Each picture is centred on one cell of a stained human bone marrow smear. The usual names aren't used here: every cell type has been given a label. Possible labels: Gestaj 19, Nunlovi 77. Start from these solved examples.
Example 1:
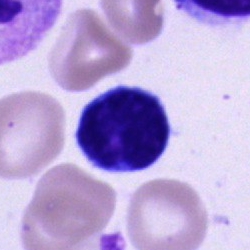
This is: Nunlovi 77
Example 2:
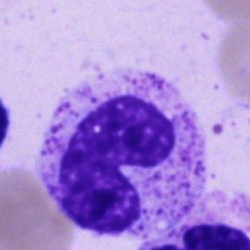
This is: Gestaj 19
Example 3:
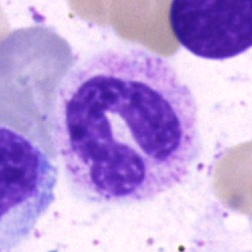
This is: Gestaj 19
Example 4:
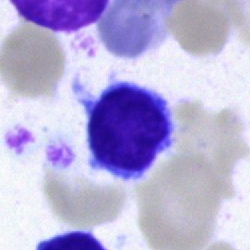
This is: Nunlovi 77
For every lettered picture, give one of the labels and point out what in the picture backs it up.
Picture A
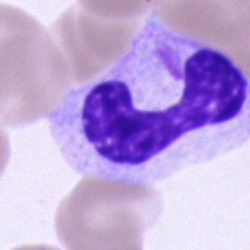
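Label: Gestaj 19. The nucleus is curved into a horseshoe with its open side facing upward.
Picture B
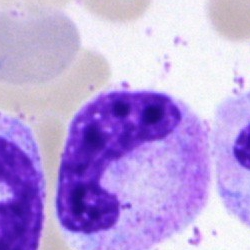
Label: Gestaj 19. The cytoplasm is abundant and pale lilac-pink.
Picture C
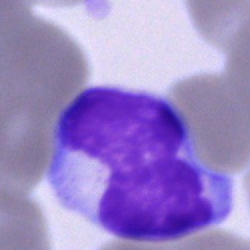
Label: Nunlovi 77. The nucleus fills most of the cell.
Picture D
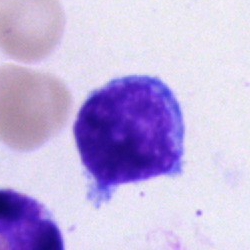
Label: Nunlovi 77. The cytoplasm is scant, forming only a thin rim around a nucleus that fills most of the cell.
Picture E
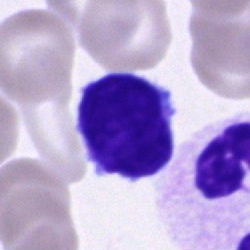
Label: Nunlovi 77. The cytoplasm is scant, at most a thin rim around the nucleus.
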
